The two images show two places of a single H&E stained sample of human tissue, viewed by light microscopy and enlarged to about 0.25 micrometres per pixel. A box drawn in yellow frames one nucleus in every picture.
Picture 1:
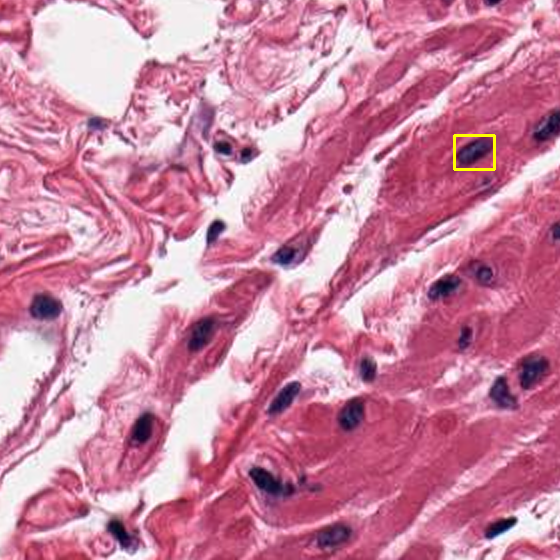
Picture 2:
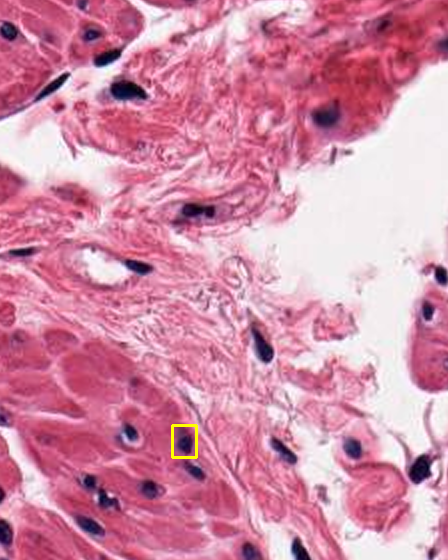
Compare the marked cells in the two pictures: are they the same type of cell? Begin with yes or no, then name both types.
Yes, both are smooth muscle cells.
